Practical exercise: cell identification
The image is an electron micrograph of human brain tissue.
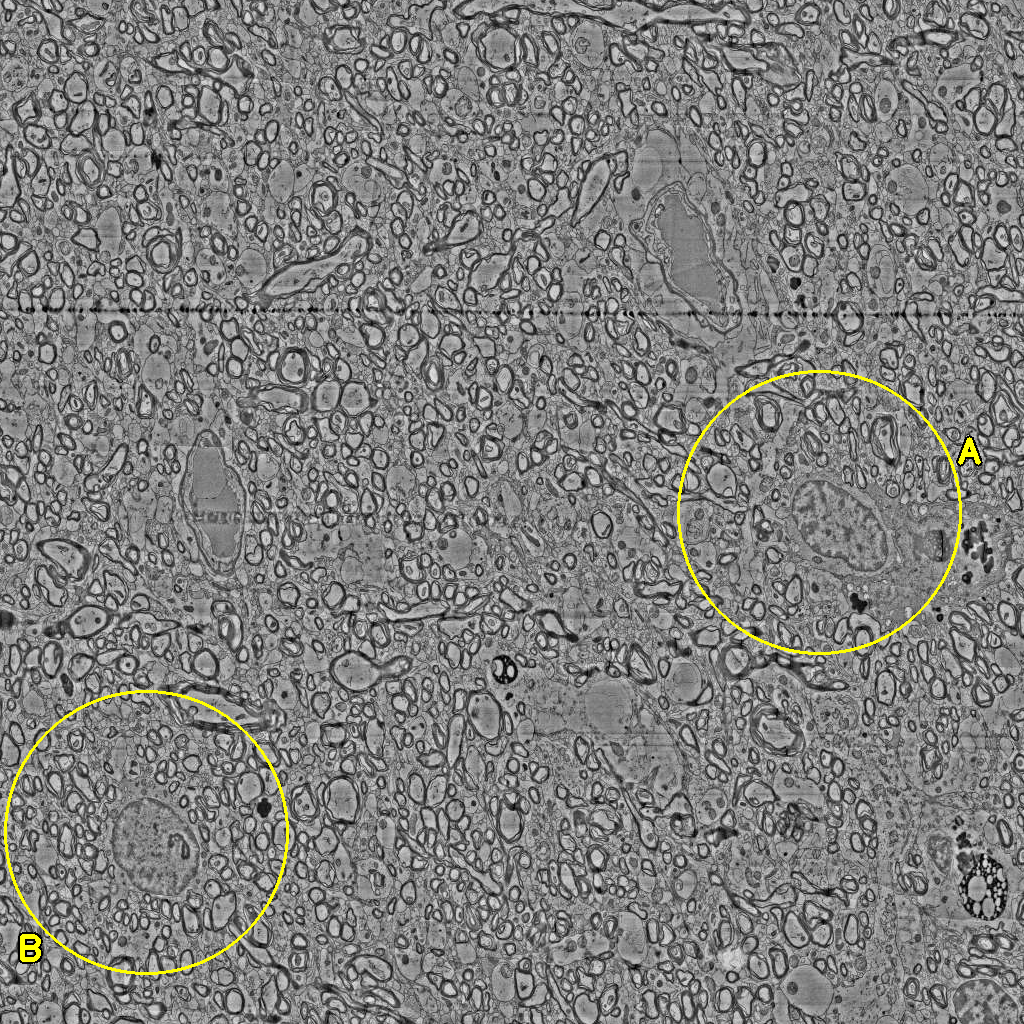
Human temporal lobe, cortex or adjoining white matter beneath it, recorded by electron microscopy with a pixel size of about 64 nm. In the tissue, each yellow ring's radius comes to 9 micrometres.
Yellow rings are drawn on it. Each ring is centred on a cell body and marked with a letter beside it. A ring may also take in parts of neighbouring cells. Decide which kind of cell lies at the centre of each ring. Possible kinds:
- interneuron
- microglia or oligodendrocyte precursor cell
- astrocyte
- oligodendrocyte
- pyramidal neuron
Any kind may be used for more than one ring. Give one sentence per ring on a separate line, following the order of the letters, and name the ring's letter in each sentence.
The cell in the middle of ring A is an oligodendrocyte.
The cell in the middle of ring B is an oligodendrocyte.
